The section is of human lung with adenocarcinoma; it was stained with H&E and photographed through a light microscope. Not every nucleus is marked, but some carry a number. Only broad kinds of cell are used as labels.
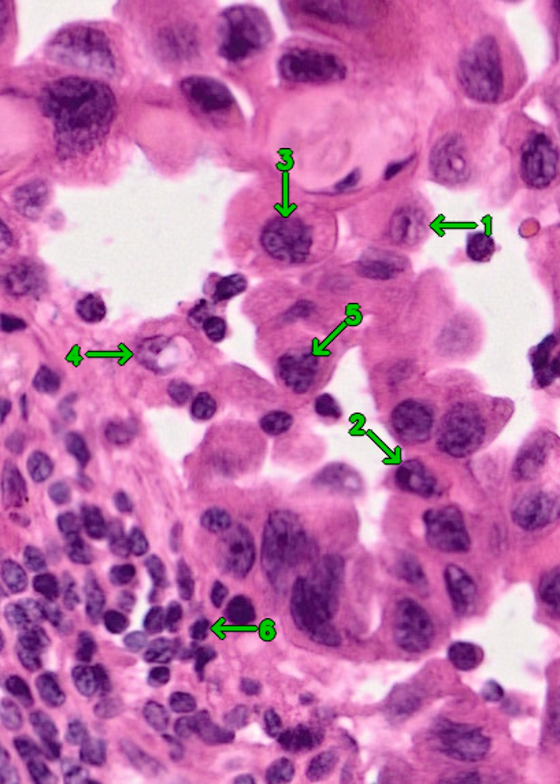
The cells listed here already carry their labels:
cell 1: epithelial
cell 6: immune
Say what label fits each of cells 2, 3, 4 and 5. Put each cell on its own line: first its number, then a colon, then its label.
2: epithelial
3: epithelial
4: immune
5: epithelial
